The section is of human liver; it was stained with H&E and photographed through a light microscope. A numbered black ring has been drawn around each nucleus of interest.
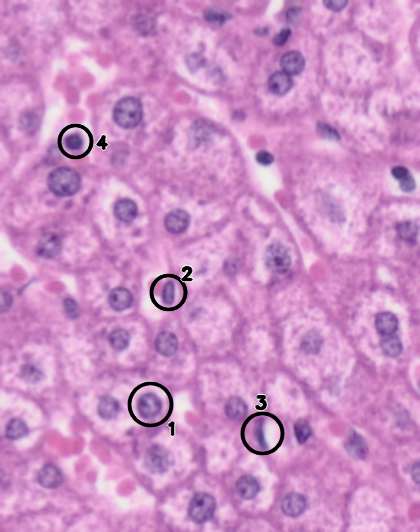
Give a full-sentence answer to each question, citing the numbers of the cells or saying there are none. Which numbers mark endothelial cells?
Cell 3, and no other numbered cell, is an endothelial cell.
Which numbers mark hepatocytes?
There is just one numbered cell that is a hepatocyte, and it is cell 1.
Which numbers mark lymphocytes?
Cell 4 is a lymphocyte, whereas each of the other numbered cells is not.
